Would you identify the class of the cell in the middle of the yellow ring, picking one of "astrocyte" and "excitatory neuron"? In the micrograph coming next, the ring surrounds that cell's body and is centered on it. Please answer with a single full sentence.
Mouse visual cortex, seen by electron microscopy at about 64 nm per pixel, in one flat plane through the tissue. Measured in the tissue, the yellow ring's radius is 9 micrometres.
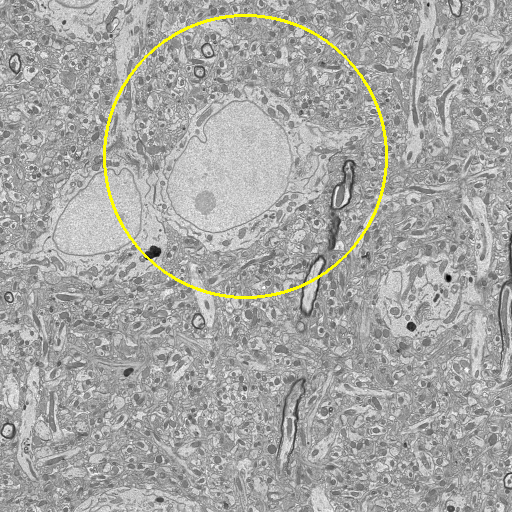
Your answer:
In the micrograph, it is an excitatory neuron whose body lies at the ring's center.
